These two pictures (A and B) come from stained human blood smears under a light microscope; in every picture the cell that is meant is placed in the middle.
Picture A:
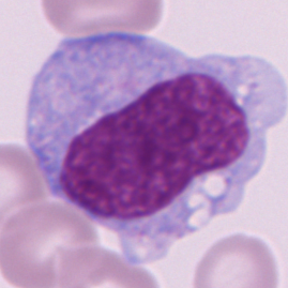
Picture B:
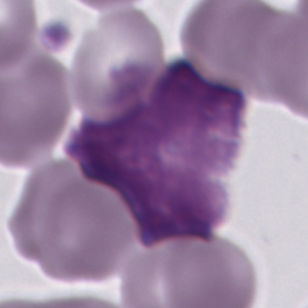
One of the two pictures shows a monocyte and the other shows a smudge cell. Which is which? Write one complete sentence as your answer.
It is picture A that shows a monocyte, and picture B that shows a smudge cell.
